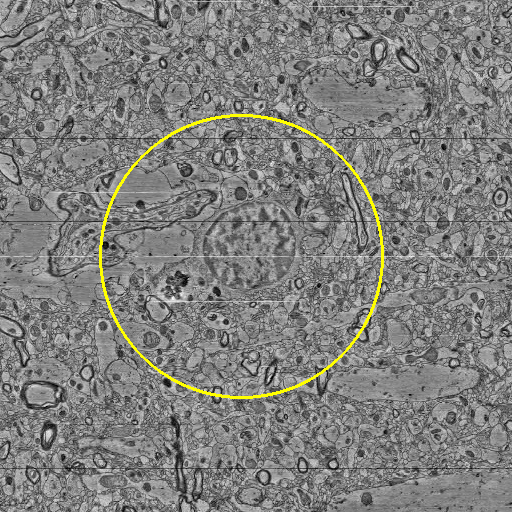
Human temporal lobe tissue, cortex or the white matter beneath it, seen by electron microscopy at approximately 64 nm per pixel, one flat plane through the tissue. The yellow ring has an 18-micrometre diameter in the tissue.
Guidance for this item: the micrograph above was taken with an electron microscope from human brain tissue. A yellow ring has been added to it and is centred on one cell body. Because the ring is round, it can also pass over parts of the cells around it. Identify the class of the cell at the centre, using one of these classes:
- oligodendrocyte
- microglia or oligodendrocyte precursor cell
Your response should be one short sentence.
The ring surrounds the body of an oligodendrocyte.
